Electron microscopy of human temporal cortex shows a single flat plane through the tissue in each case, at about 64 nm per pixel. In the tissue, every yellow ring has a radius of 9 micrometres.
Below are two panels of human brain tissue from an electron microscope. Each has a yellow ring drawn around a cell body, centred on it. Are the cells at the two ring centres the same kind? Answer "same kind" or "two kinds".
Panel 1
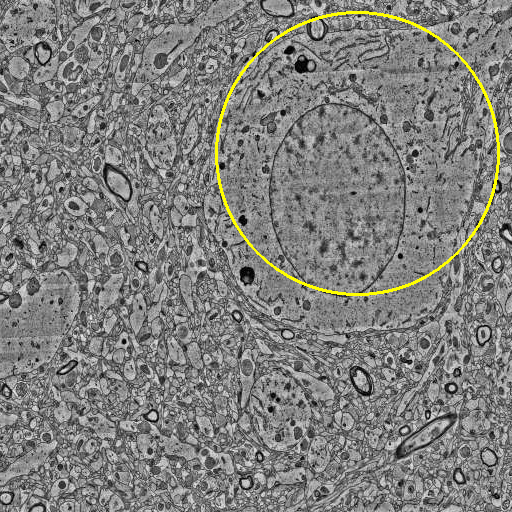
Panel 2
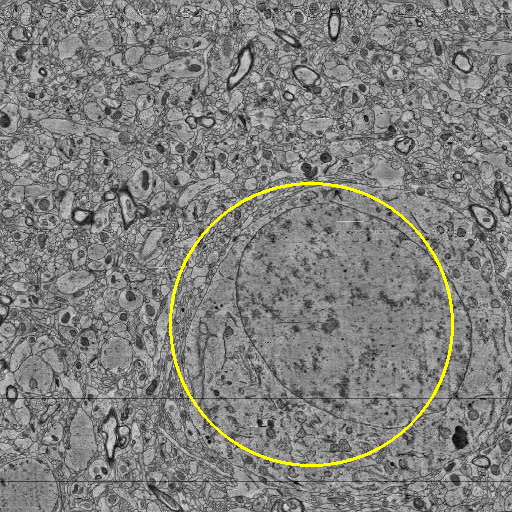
same kind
